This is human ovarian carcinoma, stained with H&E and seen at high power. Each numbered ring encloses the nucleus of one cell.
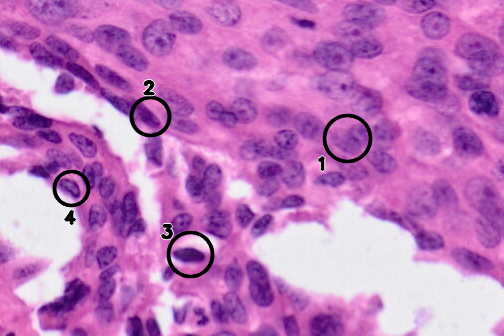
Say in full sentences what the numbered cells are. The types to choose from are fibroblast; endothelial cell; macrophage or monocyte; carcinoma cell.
Cell 1 is a carcinoma cell, cell 2 is a carcinoma cell, cell 3 is a carcinoma cell and cell 4 is a macrophage or monocyte.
